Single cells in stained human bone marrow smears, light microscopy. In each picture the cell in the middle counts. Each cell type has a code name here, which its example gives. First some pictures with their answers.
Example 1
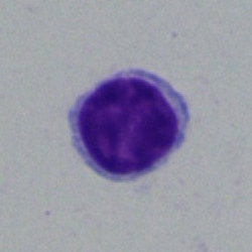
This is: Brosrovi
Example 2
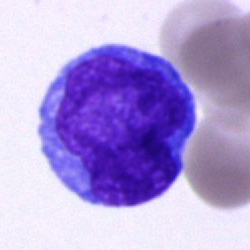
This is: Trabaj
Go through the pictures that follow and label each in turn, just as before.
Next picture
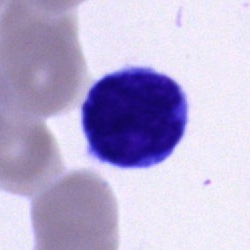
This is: Brosrovi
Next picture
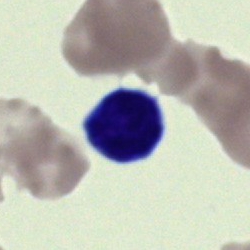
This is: Brosrovi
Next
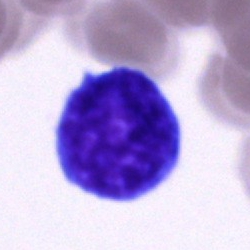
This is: Trabaj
